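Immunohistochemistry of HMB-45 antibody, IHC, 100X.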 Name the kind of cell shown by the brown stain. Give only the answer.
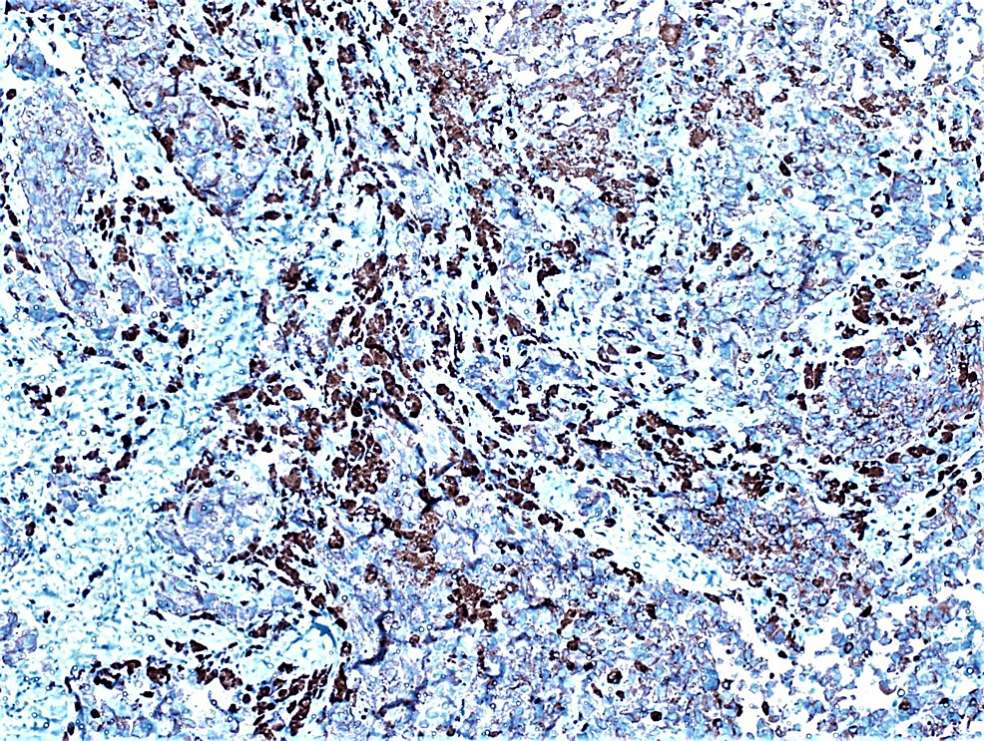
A: Tumour cells.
